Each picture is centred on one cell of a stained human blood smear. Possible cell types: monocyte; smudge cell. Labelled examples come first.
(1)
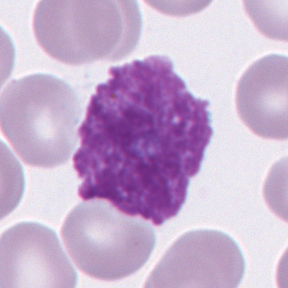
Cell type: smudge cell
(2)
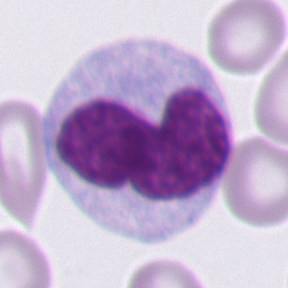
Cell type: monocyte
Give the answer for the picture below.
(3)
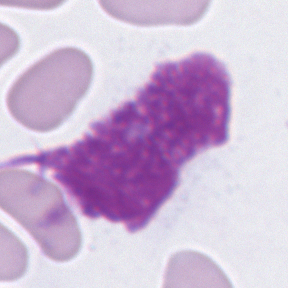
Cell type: smudge cell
